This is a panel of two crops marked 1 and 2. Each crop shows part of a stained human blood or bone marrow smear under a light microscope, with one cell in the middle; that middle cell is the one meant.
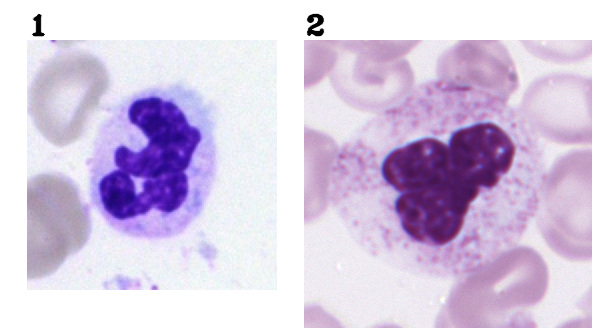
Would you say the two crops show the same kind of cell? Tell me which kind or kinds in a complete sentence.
Yes, segmented neutrophils are at the centre in both crops.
